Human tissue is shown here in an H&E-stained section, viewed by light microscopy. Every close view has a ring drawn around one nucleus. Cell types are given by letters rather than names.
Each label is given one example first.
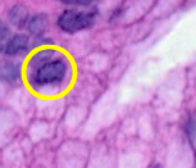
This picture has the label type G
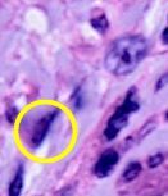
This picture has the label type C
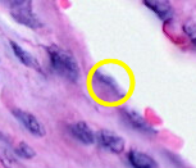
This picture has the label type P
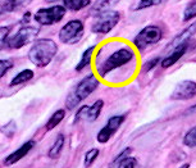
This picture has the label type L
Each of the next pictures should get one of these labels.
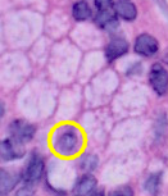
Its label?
type G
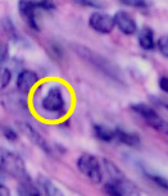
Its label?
type L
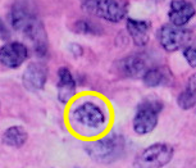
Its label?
type L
